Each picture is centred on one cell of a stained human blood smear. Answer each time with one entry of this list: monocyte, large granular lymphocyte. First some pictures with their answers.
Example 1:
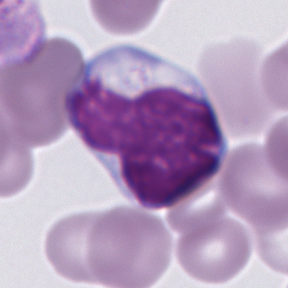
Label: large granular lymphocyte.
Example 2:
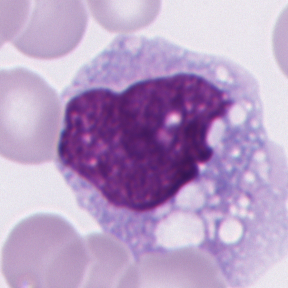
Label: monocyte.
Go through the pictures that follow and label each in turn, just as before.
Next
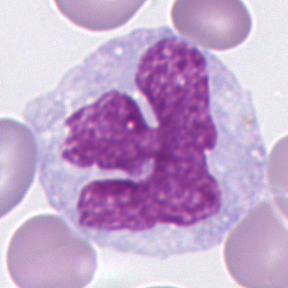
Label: monocyte.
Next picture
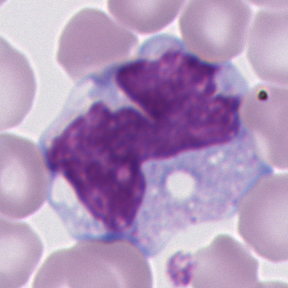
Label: monocyte.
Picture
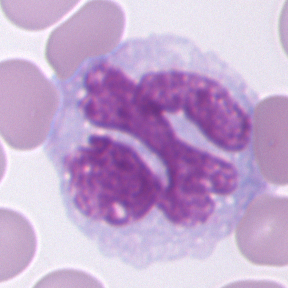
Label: monocyte.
